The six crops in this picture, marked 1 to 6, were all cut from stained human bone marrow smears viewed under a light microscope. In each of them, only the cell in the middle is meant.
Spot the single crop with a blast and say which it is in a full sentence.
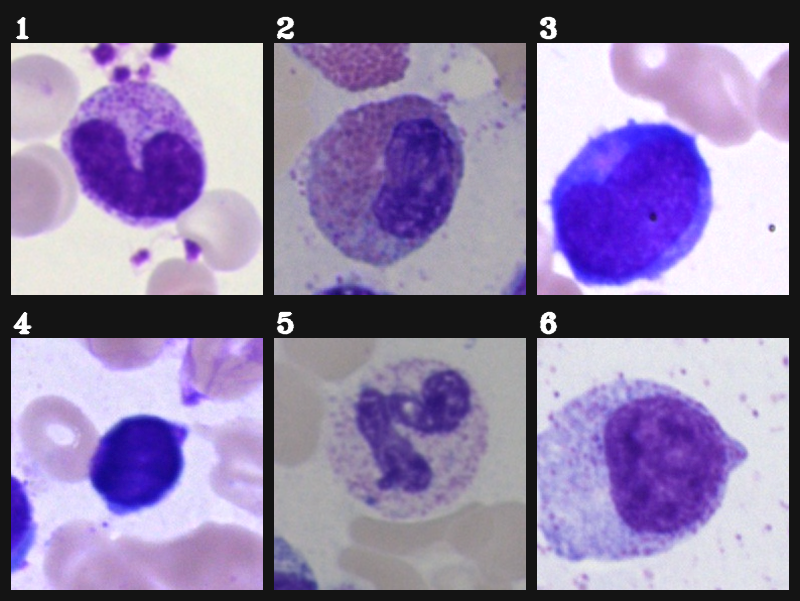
Of the crops given, a blast is found in crop 3.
